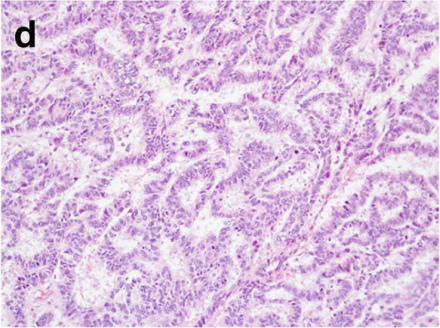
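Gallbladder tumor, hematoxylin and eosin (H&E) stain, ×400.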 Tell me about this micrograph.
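Crowded epithelial cells line closely packed, branching tubules and glands with little intervening stroma. The cells are columnar to cuboidal with enlarged, oval, dark purple nuclei that are stratified and overlap one another. The cytoplasm is scant to moderate and pink-purple. Small slit-like and round lumens sit in the middle of the tubules. These back-to-back malignant glands make up a tubular adenocarcinoma.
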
